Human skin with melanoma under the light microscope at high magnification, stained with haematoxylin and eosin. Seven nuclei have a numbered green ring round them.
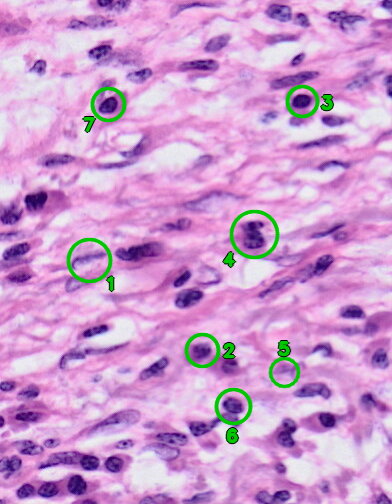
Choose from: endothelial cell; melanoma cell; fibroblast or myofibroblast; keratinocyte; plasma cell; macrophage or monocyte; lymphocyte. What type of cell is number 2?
plasma cell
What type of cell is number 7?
plasma cell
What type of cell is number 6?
lymphocyte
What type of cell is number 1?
fibroblast or myofibroblast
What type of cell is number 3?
plasma cell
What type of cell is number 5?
fibroblast or myofibroblast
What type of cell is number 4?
plasma cell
